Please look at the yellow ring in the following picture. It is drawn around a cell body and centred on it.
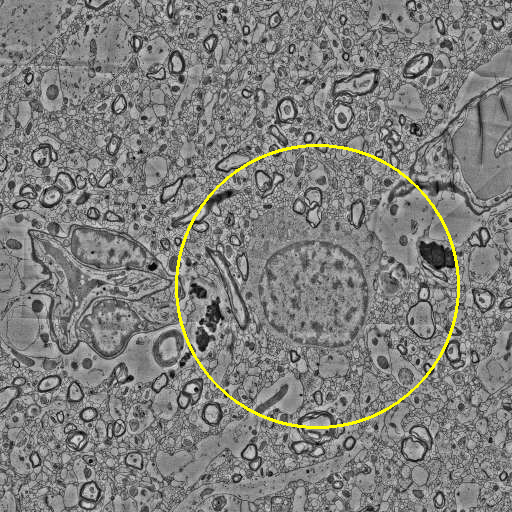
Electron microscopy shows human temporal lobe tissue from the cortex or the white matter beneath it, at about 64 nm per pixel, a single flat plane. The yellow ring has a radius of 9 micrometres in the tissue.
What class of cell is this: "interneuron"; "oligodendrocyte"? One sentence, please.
The ring surrounds the cell body of an oligodendrocyte.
